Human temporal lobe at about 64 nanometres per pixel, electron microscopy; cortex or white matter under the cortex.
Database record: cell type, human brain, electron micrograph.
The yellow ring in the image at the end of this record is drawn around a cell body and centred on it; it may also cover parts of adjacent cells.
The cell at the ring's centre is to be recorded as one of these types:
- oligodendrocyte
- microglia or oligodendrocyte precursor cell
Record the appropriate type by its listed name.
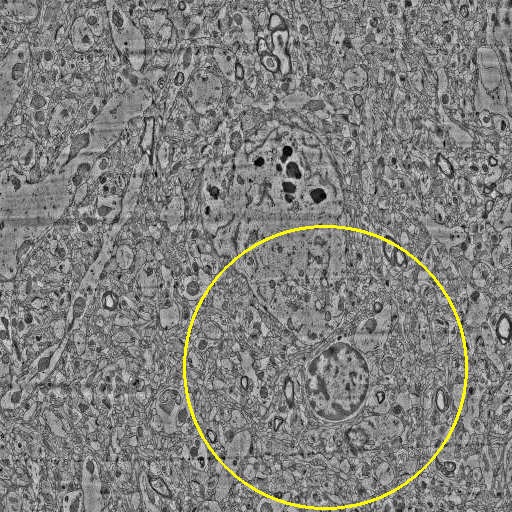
microglia or oligodendrocyte precursor cell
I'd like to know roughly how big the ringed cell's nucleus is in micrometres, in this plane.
Roughly 5 by 4 micrometres in this plane, for the nucleus of the ringed cell.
